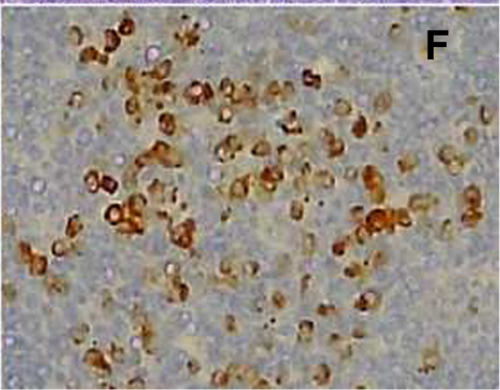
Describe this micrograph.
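The stained cells are rounded, and the brown colour often forms a ring around a paler, roughly round nucleus that sits off-centre. They lie among many unstained pale grey-blue cells.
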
